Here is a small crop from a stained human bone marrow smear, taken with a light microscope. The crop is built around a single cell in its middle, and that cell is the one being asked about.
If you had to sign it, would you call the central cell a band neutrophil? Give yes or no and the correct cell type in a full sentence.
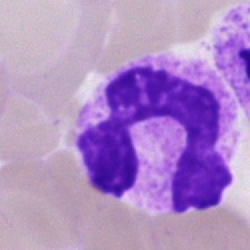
Yes, the central cell here is a band neutrophil.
